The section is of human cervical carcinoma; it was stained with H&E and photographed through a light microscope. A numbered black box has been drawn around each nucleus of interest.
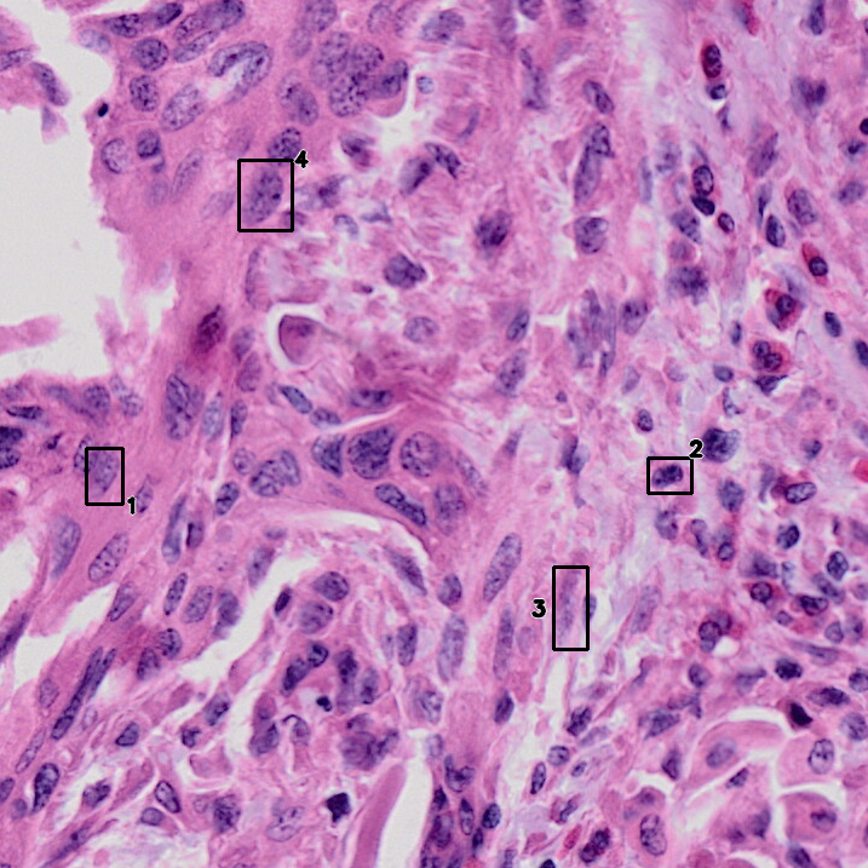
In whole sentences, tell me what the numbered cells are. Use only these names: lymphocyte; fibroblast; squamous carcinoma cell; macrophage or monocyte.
Cell 1 is a squamous carcinoma cell, cell 2 is a lymphocyte, cell 3 is a fibroblast and cell 4 is a squamous carcinoma cell.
